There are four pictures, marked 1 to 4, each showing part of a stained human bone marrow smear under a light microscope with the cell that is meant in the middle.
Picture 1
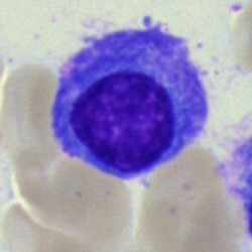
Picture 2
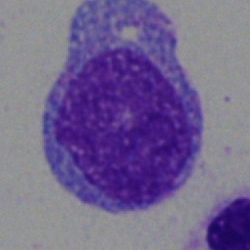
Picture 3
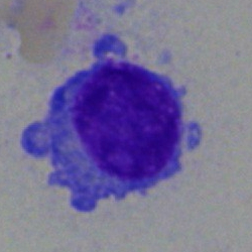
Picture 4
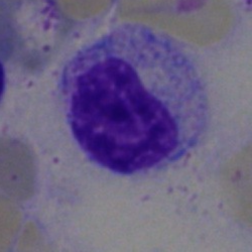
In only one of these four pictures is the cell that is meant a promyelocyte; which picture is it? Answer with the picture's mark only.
2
